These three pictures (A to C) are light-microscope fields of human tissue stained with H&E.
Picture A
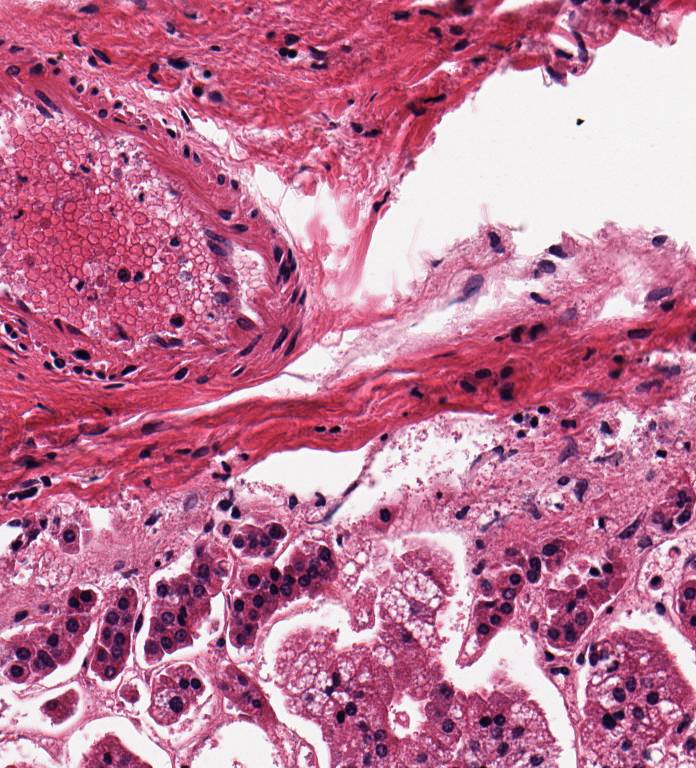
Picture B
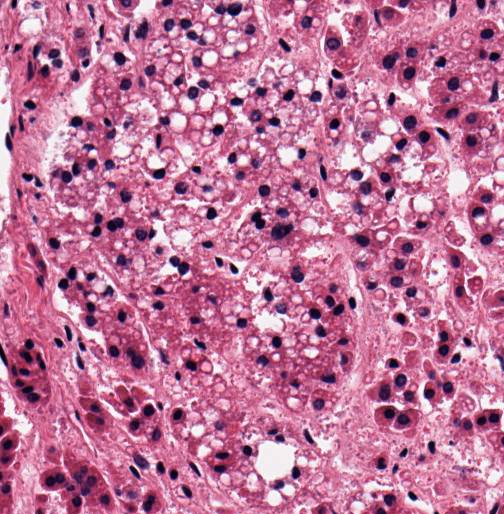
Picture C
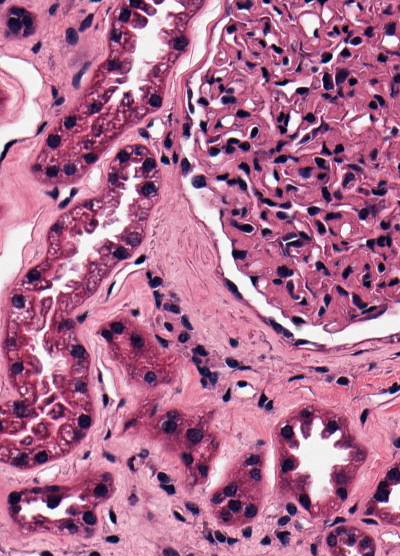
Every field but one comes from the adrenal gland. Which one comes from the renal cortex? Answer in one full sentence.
Picture C comes from the renal cortex.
